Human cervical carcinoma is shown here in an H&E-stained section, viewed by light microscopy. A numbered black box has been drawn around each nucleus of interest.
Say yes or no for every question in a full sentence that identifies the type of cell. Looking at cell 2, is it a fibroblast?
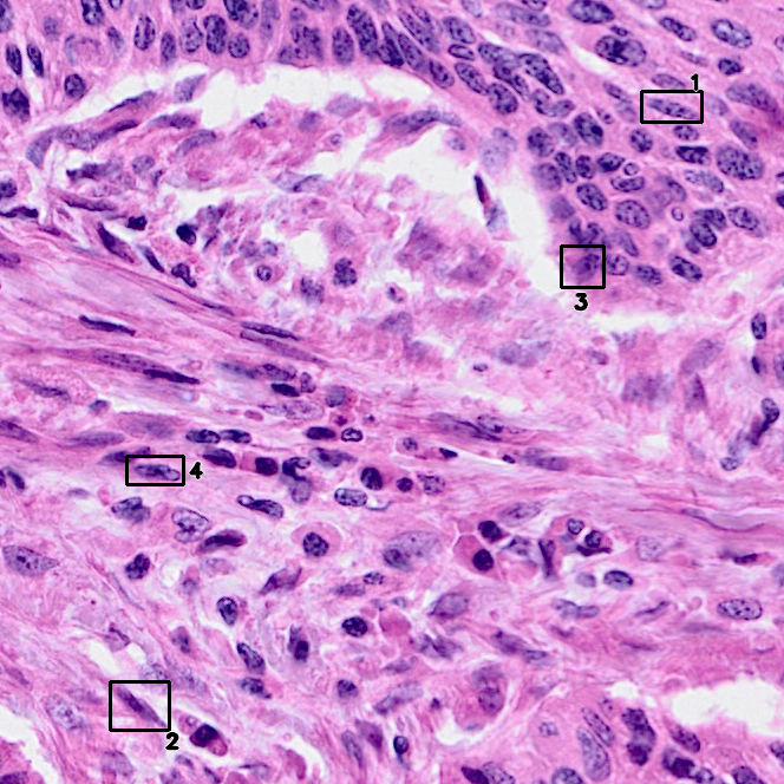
Yes, the cell that number 2 points to is a fibroblast.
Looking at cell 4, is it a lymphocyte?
Yes, it checks out; the cell labelled 4 is a lymphocyte.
